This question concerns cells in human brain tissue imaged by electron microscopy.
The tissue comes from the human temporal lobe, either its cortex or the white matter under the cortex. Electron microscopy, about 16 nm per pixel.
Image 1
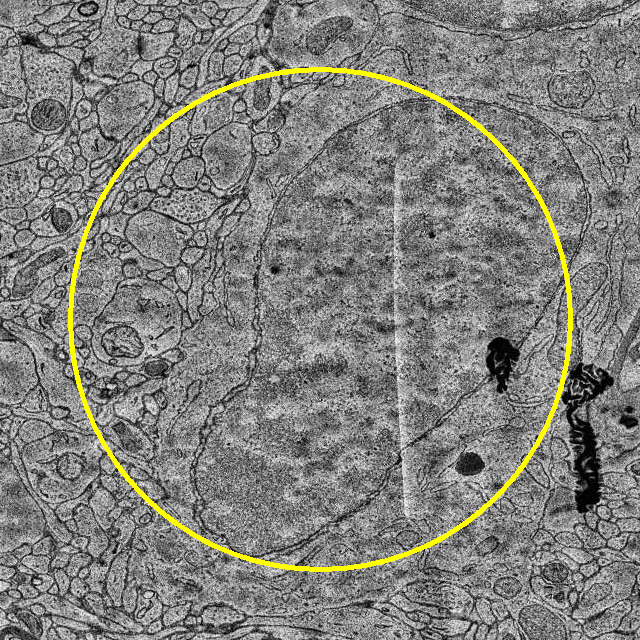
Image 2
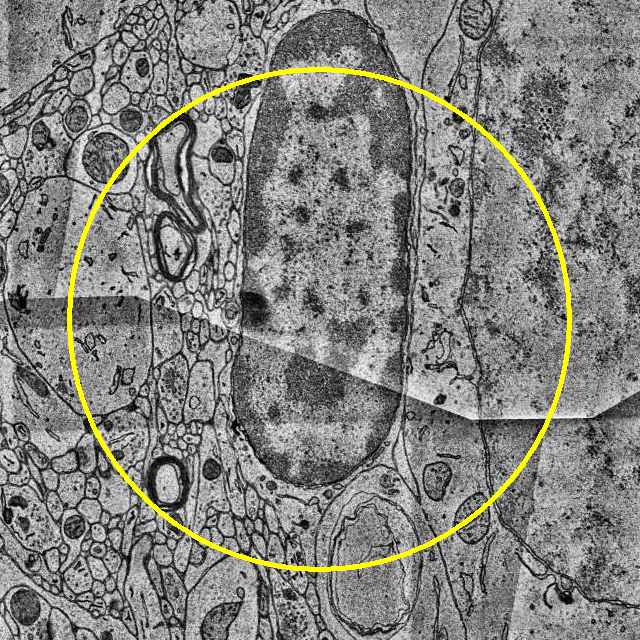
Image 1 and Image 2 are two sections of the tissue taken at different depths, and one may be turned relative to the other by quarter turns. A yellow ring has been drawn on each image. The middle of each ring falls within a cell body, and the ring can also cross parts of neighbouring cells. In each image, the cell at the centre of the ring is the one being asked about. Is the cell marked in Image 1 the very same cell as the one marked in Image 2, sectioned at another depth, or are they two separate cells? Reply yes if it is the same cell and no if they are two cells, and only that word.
no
